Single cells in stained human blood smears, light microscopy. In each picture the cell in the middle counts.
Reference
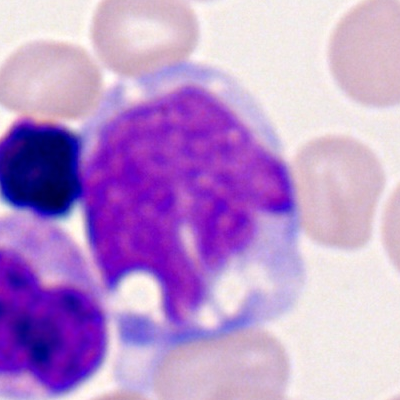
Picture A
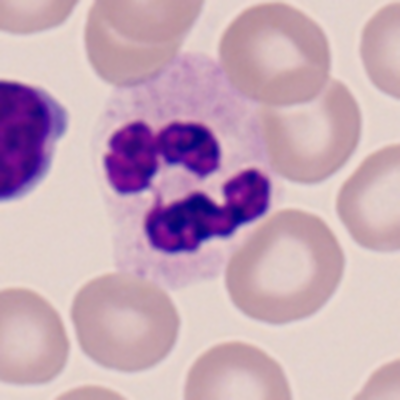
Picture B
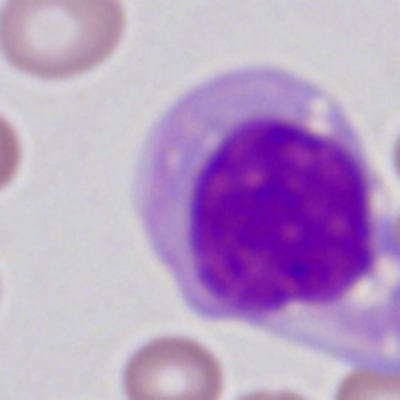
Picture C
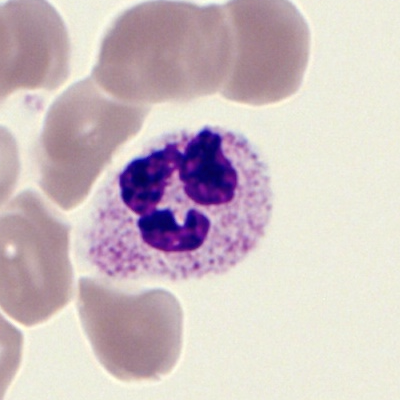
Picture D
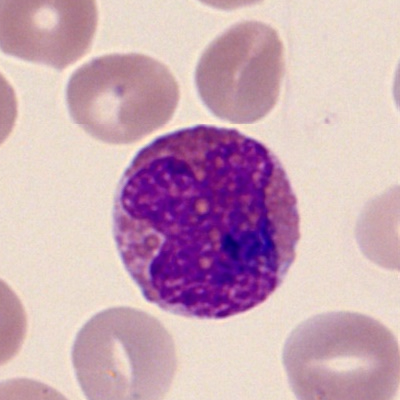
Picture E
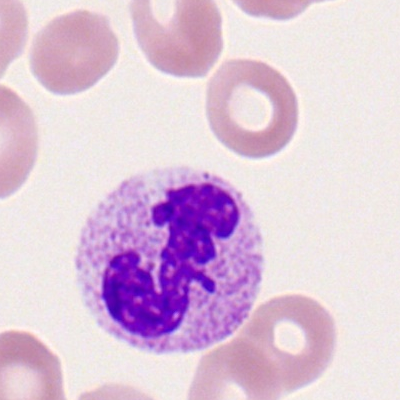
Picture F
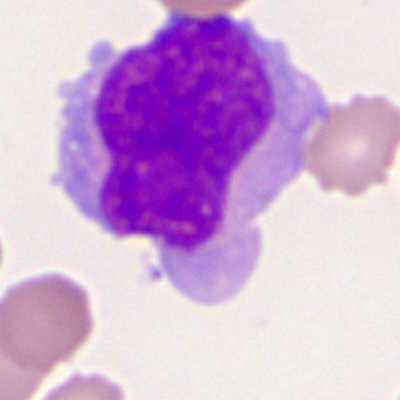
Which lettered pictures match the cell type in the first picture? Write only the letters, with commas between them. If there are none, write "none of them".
B, F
